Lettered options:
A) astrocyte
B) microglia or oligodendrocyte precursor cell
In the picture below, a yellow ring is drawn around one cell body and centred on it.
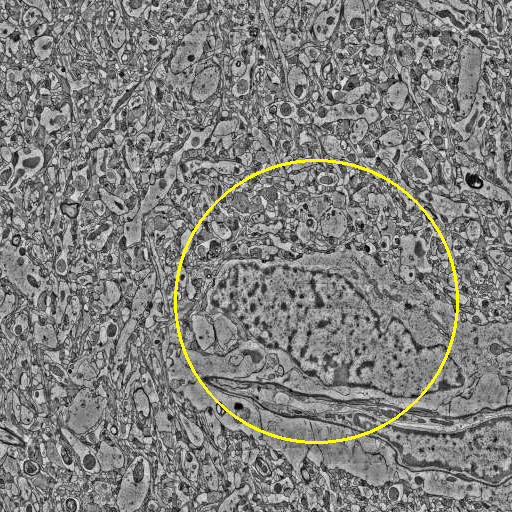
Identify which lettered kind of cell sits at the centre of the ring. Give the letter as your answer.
B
